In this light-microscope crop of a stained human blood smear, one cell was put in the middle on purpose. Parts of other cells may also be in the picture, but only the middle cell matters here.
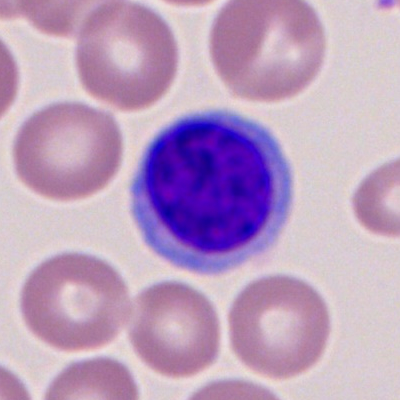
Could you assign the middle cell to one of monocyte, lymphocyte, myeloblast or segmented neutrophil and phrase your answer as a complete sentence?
The centrally positioned cell in the crop represents a lymphocyte.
